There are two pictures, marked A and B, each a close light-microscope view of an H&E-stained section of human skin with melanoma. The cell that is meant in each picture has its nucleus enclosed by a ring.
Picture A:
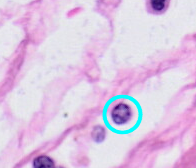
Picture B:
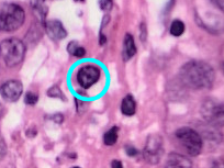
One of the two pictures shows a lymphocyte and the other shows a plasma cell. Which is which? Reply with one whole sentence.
The cell in picture A is a lymphocyte, and the one in picture B is a plasma cell.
